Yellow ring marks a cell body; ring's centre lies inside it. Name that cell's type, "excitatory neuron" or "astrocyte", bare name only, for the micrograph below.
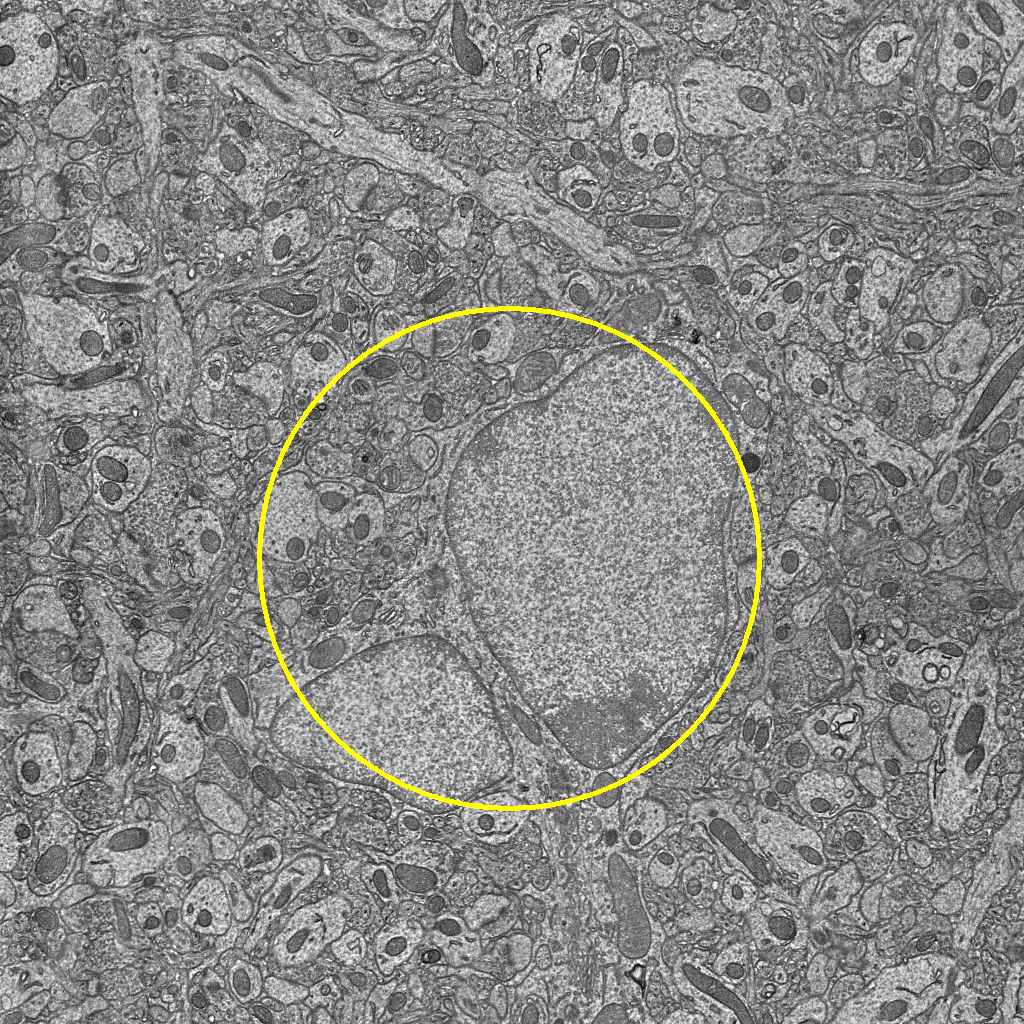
astrocyte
